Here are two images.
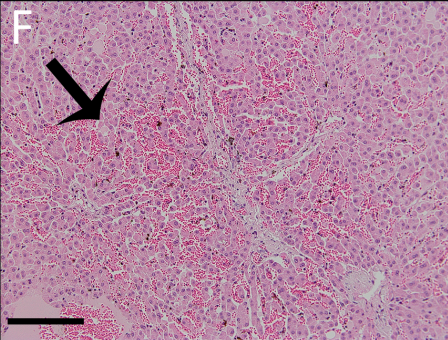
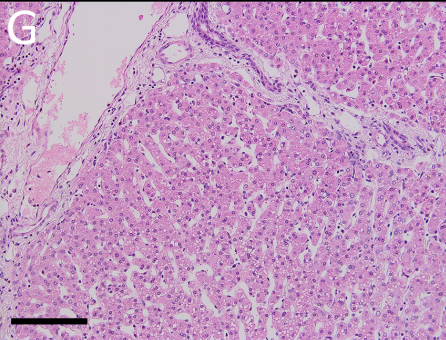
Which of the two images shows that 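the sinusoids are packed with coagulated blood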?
the first image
